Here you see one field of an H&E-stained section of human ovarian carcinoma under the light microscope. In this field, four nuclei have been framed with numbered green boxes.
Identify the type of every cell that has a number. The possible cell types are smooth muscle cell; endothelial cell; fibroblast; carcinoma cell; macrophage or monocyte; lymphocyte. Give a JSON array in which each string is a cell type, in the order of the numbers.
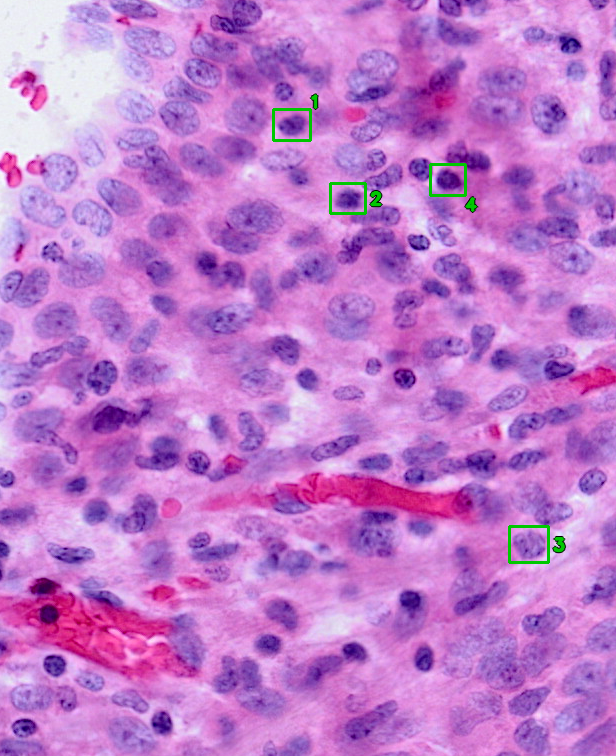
["lymphocyte", "lymphocyte", "macrophage or monocyte", "lymphocyte"]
